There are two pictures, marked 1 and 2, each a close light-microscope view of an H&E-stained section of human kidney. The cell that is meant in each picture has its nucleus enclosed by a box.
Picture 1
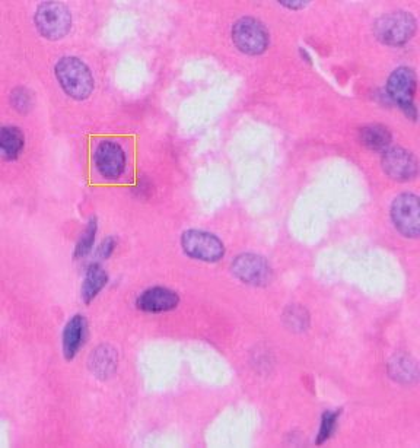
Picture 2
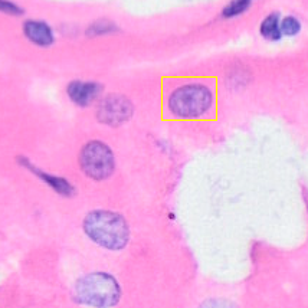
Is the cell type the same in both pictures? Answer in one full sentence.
Yes, both cells are proximal tubule cells.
